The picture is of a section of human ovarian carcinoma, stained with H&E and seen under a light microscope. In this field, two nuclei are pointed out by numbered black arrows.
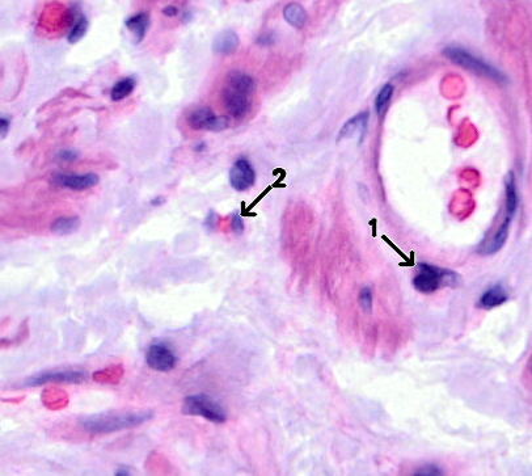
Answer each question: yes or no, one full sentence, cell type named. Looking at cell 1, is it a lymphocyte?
Yes, the number 1 belongs to a lymphocyte.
